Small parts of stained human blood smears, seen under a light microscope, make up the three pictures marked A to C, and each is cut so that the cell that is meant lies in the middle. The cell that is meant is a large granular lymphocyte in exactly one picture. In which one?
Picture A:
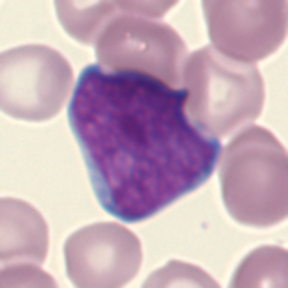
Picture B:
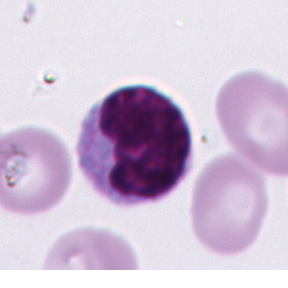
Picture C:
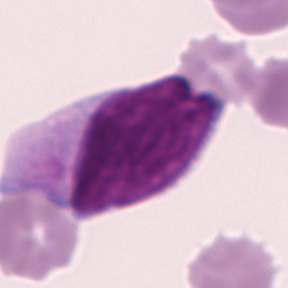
B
